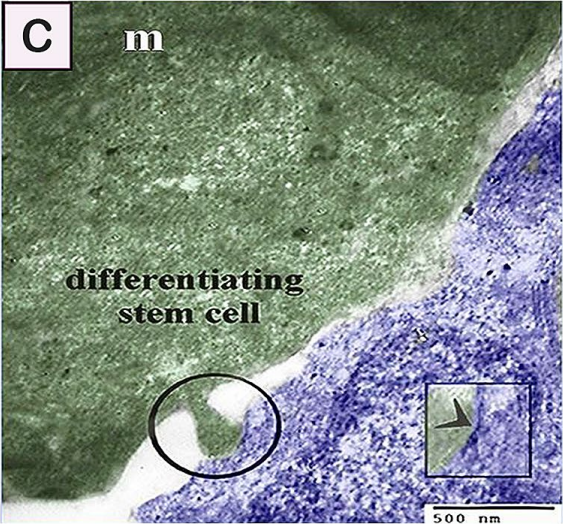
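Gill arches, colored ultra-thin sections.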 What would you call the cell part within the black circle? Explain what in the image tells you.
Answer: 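A small projection of the green cell juts out inside the circle. The projection touches the blue-coloured cell next to it. That points to this answer: finger-like process.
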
